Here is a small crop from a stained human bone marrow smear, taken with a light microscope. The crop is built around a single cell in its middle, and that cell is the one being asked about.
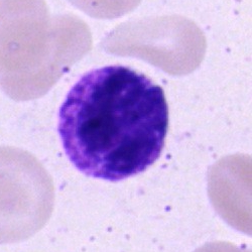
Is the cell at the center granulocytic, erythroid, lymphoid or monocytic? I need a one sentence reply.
The middle cell should be classed under the granulocytic lineage.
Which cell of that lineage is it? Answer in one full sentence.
The central cell in this smear crop is a basophil.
